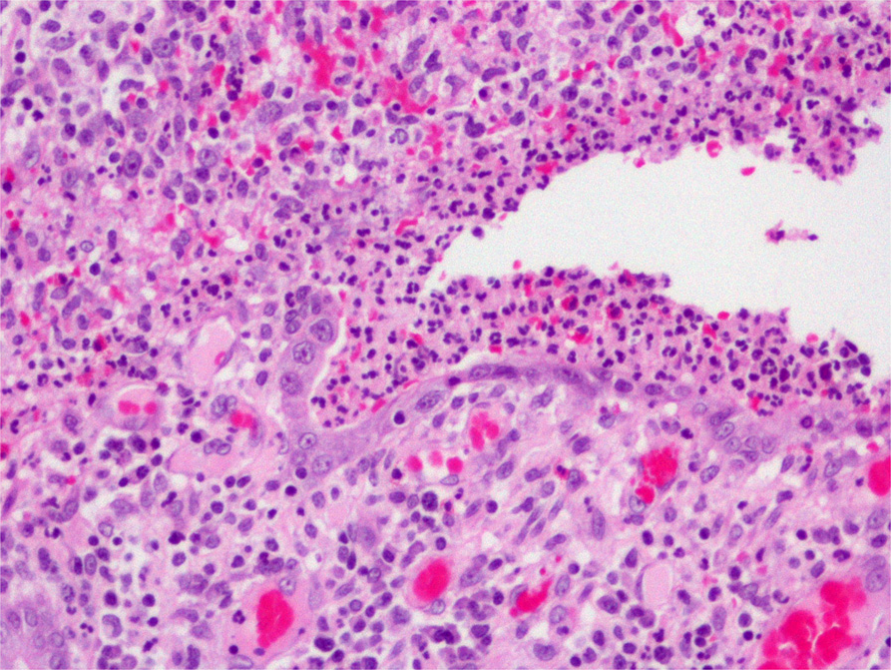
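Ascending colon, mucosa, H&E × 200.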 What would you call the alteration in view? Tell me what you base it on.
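The tissue is densely packed with small cells that have dark, lobed or round nuclei. Cells with small dark segmented nuclei crowd the upper part along the open space. Round cells with eccentric nuclei and more cytoplasm are scattered throughout. That points to this answer: acute and chronic inflammatory cells infiltration.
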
